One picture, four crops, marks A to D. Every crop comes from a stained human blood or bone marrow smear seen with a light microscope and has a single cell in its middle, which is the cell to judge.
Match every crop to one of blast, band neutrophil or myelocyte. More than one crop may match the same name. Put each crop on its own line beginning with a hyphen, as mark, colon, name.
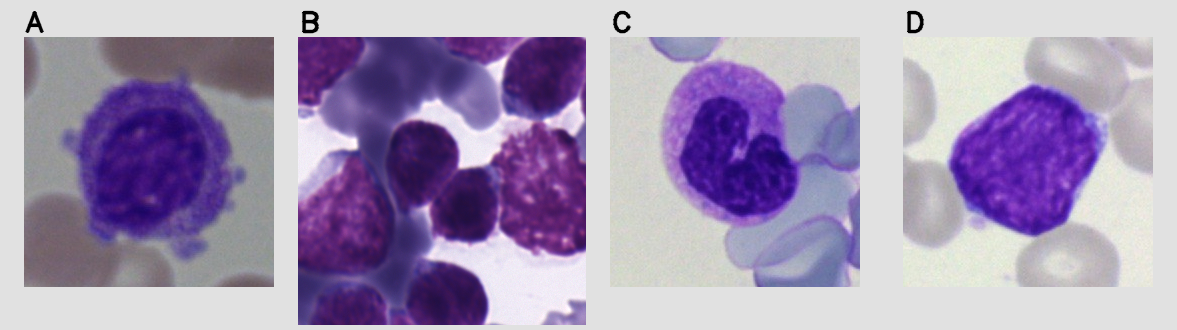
- A: myelocyte
- B: blast
- C: band neutrophil
- D: blast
